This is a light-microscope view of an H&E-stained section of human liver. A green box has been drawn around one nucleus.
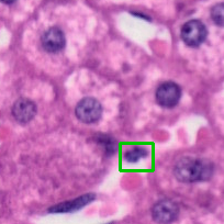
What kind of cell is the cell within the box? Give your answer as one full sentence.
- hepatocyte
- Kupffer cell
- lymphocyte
The cell within the box is a lymphocyte.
